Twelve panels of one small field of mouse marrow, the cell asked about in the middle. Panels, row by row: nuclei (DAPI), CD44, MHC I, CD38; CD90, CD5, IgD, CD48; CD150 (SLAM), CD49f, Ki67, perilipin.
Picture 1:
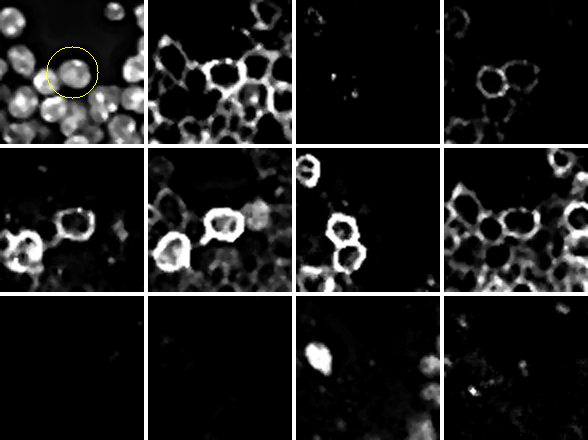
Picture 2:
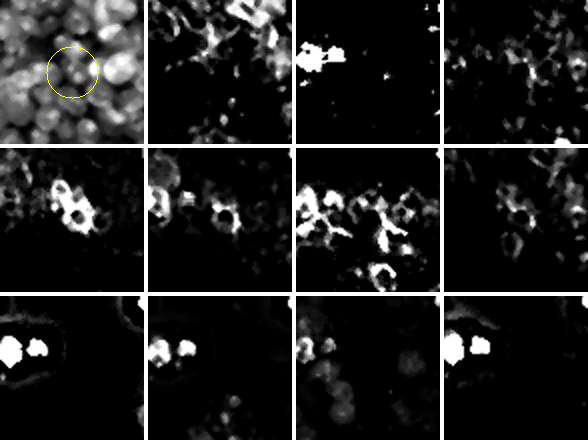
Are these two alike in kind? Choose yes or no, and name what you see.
Yes. T cells.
